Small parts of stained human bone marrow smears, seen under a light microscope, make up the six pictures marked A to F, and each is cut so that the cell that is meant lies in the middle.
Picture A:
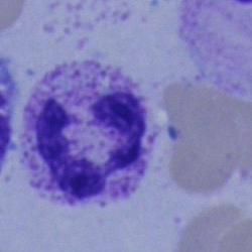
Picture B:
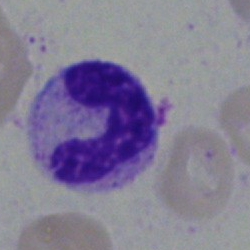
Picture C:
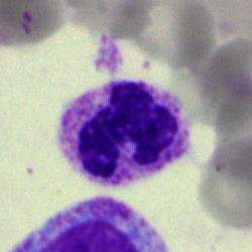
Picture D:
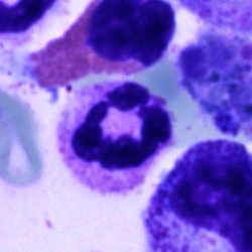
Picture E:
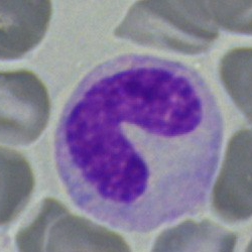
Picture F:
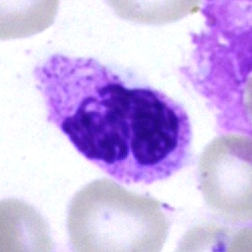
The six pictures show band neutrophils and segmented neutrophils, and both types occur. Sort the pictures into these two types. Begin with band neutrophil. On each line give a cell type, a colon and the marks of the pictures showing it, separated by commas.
band neutrophil: B, E
segmented neutrophil: A, C, D, F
